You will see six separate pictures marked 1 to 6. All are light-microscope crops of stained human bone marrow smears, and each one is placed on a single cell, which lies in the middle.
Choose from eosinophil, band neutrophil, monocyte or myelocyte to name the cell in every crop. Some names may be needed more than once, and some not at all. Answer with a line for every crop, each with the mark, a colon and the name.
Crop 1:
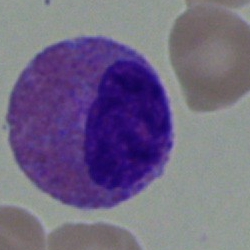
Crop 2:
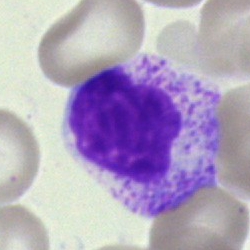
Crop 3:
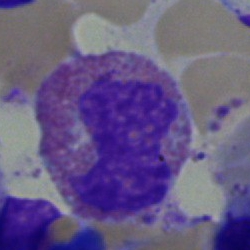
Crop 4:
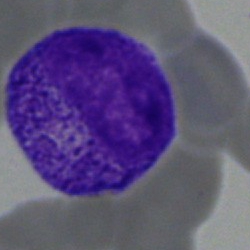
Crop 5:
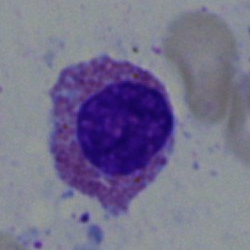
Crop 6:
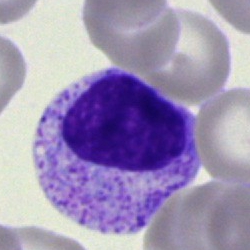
1: eosinophil
2: myelocyte
3: eosinophil
4: myelocyte
5: eosinophil
6: myelocyte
